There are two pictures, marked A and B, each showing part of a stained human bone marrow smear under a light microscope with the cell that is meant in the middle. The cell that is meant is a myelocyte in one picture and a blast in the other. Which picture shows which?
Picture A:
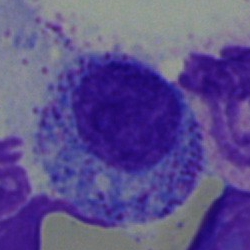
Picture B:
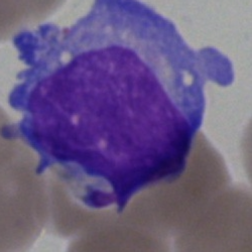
A: myelocyte
B: blast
